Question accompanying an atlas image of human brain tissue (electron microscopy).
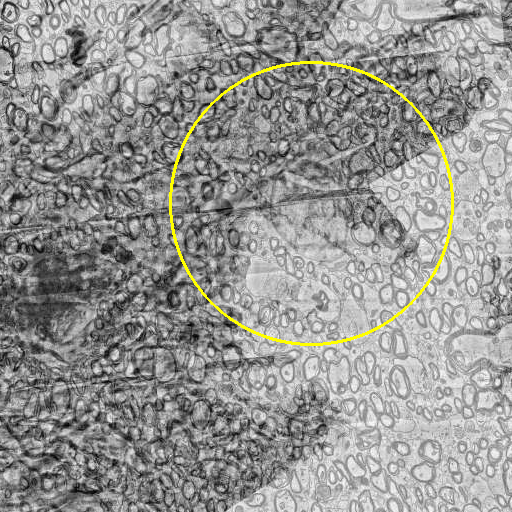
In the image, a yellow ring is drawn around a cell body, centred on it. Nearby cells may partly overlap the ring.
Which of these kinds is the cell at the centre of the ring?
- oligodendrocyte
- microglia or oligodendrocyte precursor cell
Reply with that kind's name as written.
oligodendrocyte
